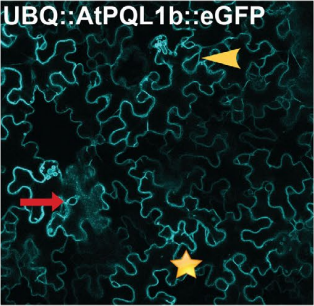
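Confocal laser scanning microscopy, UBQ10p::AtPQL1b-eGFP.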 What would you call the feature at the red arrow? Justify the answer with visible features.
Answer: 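The red arrow points to a small round fluorescent ring. The ring sits within a cell among jigsaw-shaped outlines. On this evidence: bulbs.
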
